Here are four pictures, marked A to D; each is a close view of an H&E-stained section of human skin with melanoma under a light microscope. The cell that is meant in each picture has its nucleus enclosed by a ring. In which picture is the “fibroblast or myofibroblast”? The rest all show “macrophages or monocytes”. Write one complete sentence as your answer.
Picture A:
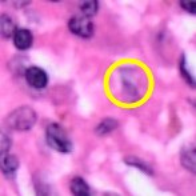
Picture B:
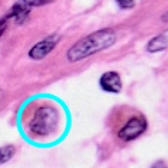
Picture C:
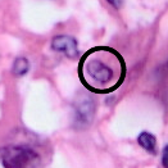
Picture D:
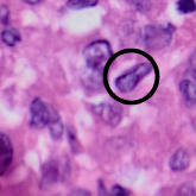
The “fibroblast or myofibroblast” is the one in picture A.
